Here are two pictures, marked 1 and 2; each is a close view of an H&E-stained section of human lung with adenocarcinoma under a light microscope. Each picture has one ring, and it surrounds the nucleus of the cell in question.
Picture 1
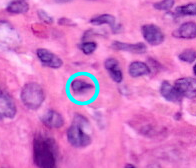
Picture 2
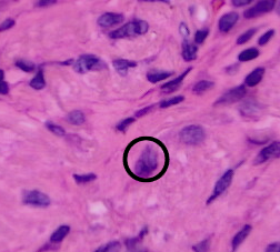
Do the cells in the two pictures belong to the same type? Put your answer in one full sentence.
No, they differ: the cell is a lymphocyte in picture 1 and a plasma cell in picture 2.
